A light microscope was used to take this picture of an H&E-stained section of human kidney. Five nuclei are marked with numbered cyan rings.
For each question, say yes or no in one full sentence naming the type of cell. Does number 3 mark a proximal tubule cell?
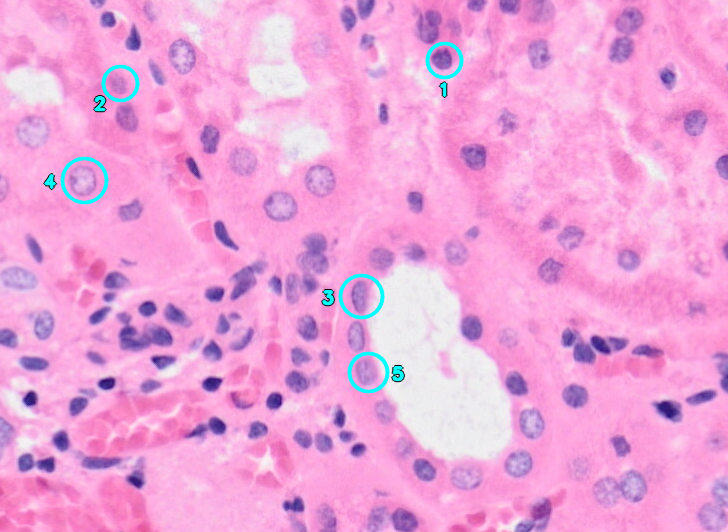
No, in terms of cell type, cell 3 is a loop of Henle or distal tubule cell, not a proximal tubule cell.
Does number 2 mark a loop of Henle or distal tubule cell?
No, the cell given number 2 is a proximal tubule cell, not a loop of Henle or distal tubule cell.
